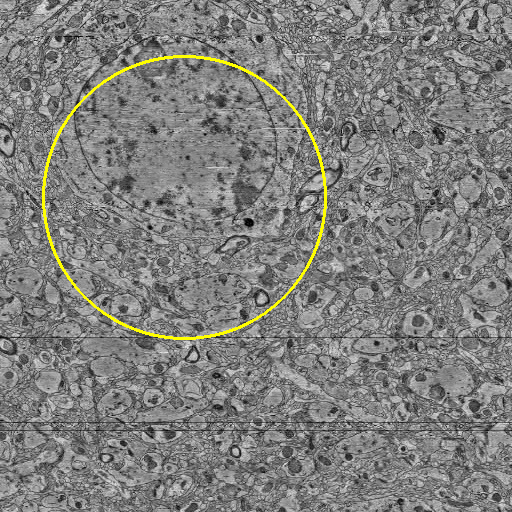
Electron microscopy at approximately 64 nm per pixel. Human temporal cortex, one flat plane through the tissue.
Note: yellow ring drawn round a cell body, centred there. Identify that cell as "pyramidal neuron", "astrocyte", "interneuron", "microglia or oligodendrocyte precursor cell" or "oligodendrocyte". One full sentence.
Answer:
The cell in the middle of the ring is a pyramidal neuron.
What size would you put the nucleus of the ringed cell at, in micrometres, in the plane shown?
About 13 micrometres across in this plane.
